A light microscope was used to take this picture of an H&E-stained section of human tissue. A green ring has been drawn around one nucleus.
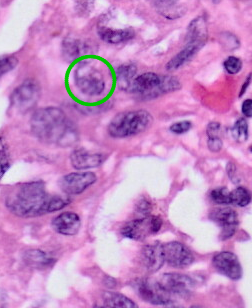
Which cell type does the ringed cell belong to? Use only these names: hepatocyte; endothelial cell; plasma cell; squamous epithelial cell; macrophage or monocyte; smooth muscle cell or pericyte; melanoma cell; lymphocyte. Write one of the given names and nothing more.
melanoma cell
